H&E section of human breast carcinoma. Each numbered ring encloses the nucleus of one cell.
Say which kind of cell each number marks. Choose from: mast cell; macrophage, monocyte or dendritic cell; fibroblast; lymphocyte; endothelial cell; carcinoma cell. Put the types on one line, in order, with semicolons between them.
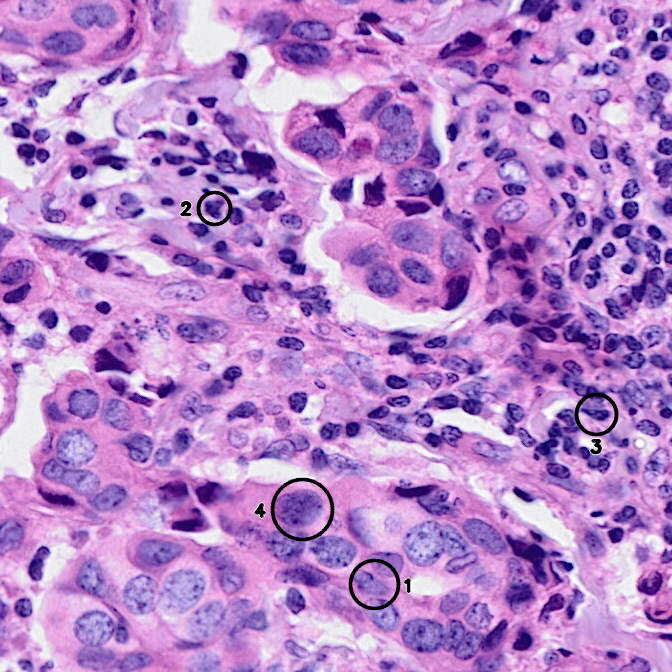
carcinoma cell; lymphocyte; lymphocyte; carcinoma cell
